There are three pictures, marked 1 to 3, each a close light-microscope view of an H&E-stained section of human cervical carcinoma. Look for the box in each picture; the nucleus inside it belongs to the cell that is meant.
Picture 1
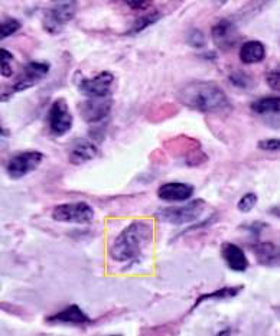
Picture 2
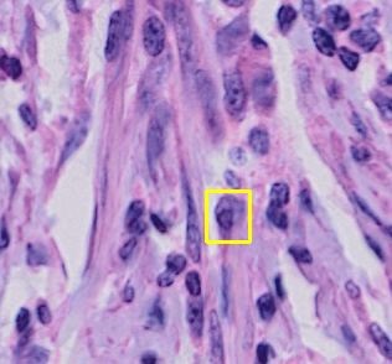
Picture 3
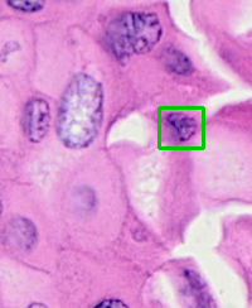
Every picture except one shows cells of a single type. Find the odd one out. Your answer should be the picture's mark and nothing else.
3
